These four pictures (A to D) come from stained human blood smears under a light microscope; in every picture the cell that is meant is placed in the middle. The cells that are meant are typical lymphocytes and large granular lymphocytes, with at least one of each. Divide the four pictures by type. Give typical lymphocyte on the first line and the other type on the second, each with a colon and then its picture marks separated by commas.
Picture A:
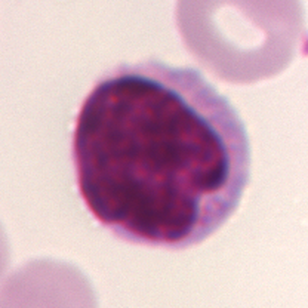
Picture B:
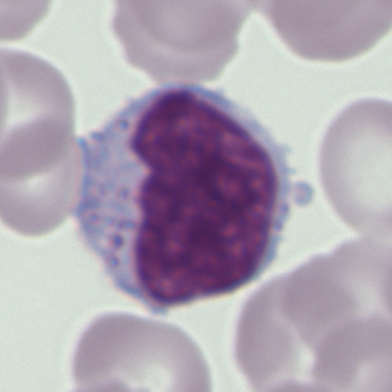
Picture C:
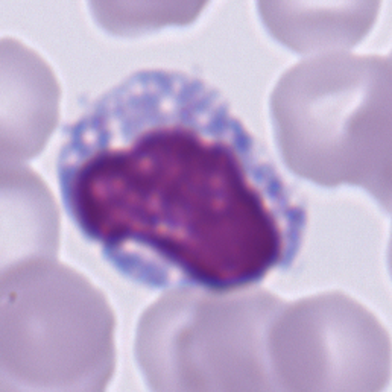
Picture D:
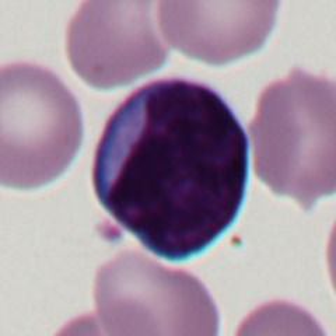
typical lymphocyte: B, C, D
large granular lymphocyte: A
